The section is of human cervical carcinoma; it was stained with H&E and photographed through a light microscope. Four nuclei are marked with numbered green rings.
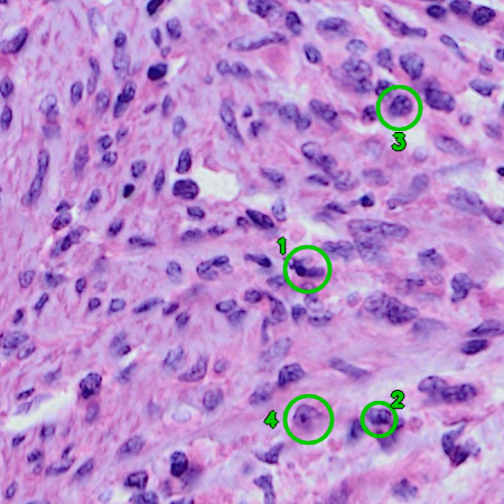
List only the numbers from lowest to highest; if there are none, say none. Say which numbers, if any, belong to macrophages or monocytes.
4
